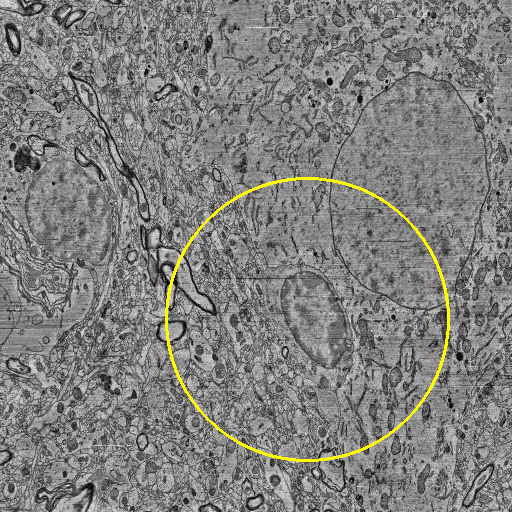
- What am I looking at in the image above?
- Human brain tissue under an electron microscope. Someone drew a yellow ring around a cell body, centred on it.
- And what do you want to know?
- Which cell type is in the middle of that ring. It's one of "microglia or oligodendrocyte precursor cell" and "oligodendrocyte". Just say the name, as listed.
oligodendrocyte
